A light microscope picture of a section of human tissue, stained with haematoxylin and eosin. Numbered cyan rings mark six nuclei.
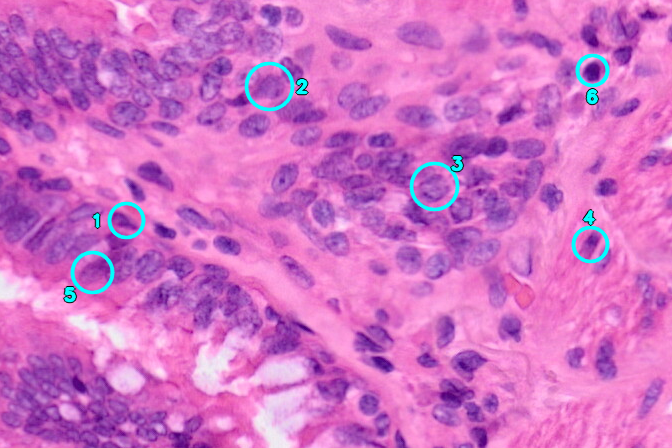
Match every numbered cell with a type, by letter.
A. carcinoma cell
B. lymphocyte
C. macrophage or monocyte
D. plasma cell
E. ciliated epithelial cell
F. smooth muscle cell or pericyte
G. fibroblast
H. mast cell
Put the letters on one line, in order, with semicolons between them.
E; E; E; F; E; D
